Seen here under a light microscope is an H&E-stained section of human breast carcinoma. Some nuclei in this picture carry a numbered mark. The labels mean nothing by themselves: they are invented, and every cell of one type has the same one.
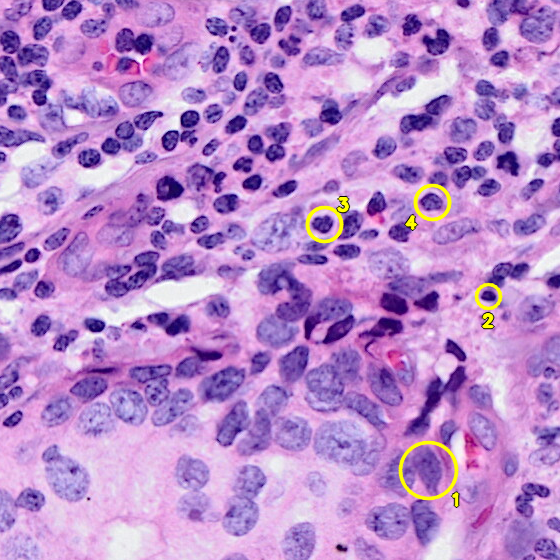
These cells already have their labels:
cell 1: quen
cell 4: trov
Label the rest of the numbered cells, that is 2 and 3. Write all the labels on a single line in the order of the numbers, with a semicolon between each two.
trov; trov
